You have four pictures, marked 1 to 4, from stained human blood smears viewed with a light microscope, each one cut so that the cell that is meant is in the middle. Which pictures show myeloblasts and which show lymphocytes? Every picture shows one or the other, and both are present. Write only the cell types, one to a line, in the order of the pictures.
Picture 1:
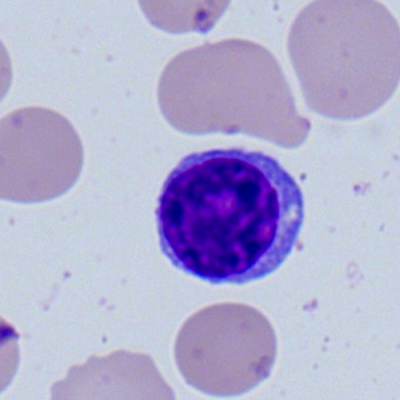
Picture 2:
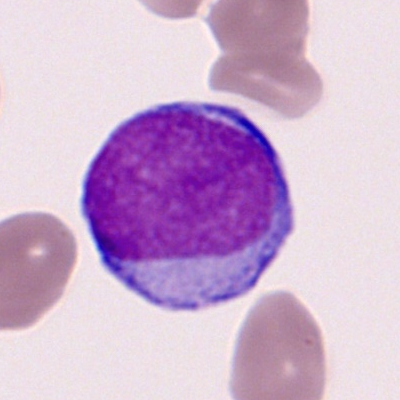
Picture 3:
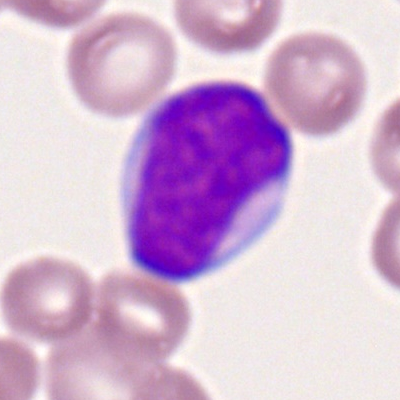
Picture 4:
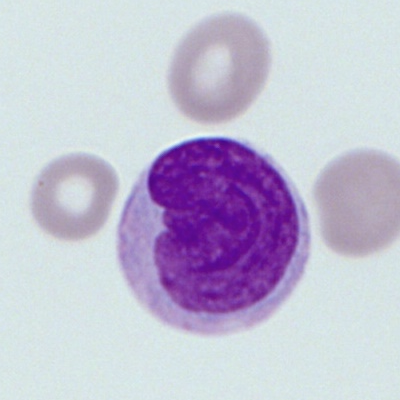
lymphocyte
myeloblast
myeloblast
myeloblast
